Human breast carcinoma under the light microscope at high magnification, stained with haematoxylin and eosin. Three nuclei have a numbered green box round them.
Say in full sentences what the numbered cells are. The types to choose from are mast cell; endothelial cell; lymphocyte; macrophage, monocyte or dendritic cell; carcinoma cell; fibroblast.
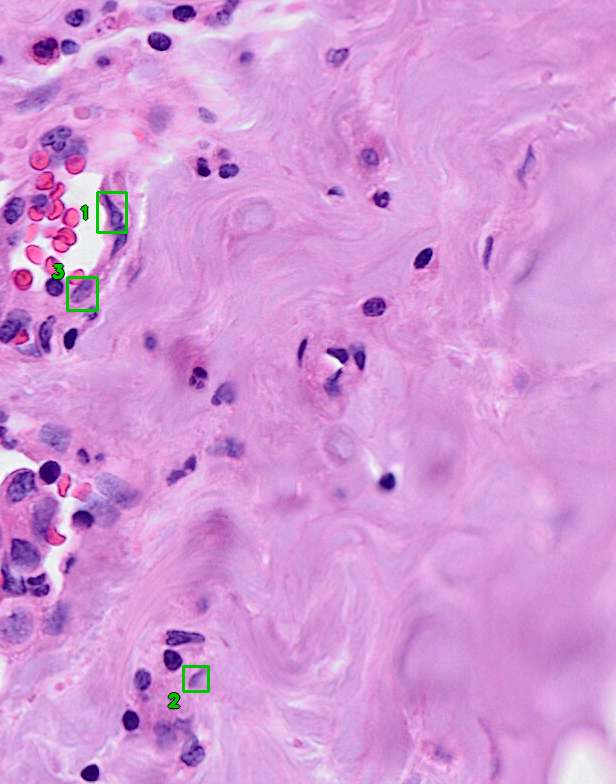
Cells 1 and 3 are endothelial cells. Cell 2 is a fibroblast.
